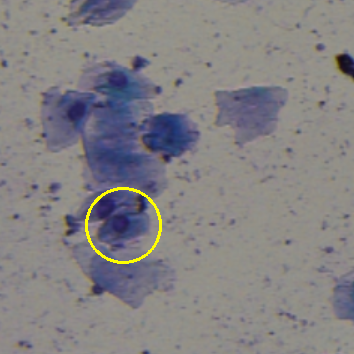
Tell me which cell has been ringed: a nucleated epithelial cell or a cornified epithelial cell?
It is a nucleated epithelial cell.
